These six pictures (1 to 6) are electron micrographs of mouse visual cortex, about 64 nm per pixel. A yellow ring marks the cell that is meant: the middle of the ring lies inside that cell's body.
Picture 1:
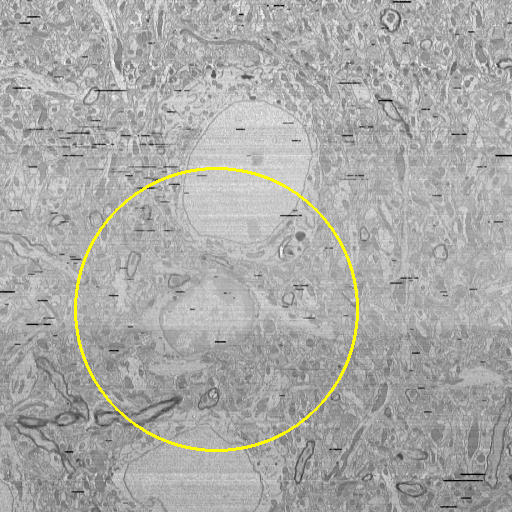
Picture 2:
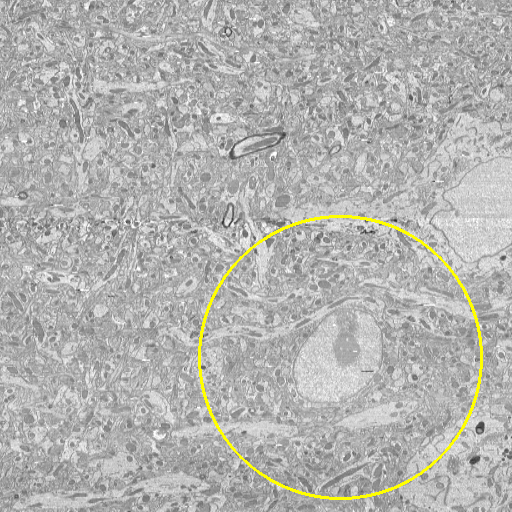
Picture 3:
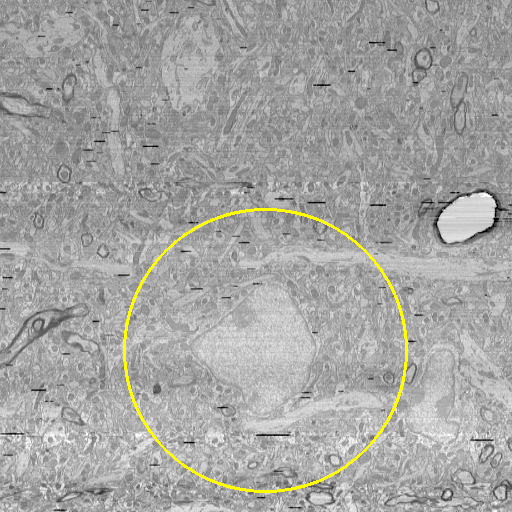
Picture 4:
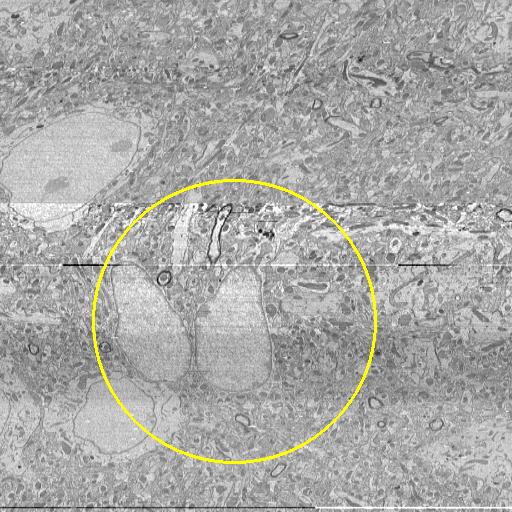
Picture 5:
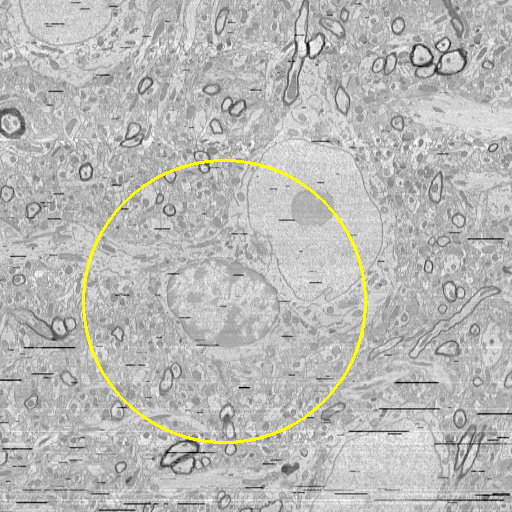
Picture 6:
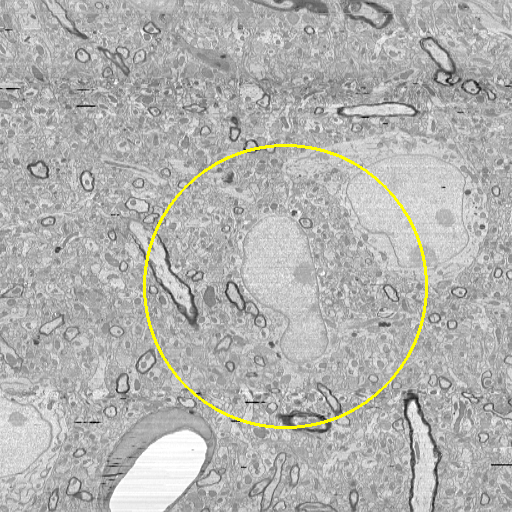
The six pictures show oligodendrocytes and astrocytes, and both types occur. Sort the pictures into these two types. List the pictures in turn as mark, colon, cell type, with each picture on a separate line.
1: oligodendrocyte
2: astrocyte
3: astrocyte
4: astrocyte
5: oligodendrocyte
6: astrocyte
